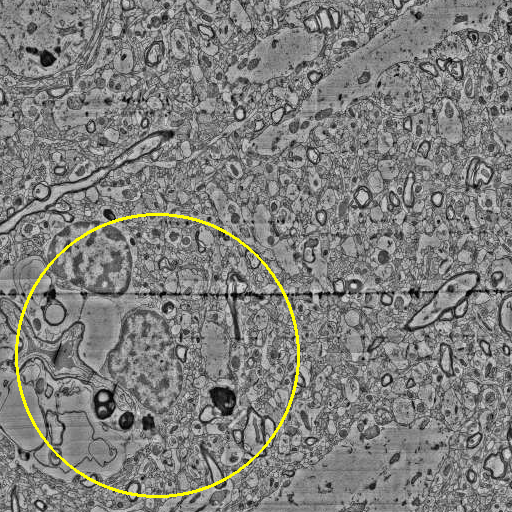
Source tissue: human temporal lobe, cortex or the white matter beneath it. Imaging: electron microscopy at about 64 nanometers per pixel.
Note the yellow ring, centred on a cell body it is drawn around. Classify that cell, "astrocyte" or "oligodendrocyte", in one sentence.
The cell the ring is centred on is an oligodendrocyte.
